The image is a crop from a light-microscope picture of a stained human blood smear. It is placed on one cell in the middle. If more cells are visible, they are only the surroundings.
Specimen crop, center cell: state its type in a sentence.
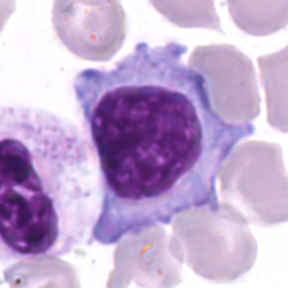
Where the crop is centred, there is a plasma cell.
